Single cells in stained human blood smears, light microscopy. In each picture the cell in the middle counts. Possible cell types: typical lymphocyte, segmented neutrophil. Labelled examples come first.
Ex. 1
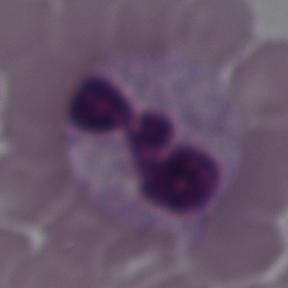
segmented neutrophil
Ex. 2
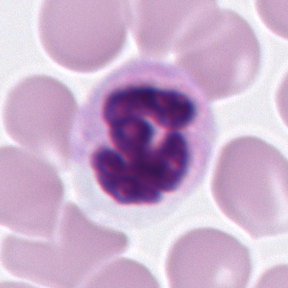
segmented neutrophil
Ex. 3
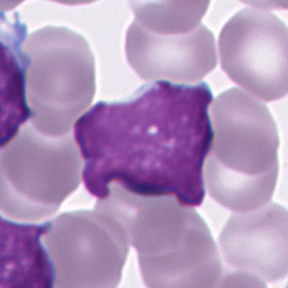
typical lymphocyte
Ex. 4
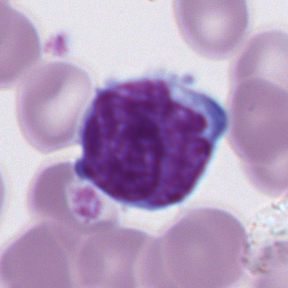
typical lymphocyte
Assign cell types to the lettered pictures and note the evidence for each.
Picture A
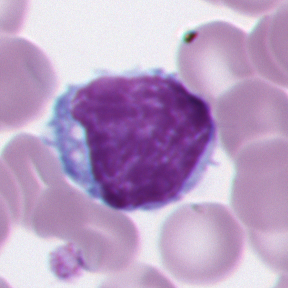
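typical lymphocyte. Evidence: The nucleus fills most of the cell and sits toward the right side.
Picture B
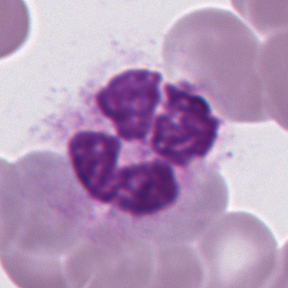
segmented neutrophil. Evidence: The nucleus is divided into four separate lobes.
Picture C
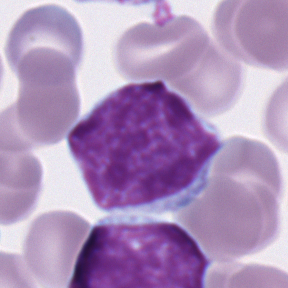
typical lymphocyte. Evidence: The nucleus fills almost the whole cell.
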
